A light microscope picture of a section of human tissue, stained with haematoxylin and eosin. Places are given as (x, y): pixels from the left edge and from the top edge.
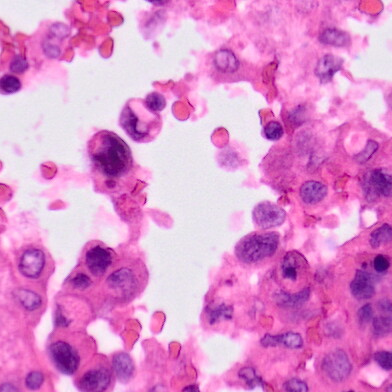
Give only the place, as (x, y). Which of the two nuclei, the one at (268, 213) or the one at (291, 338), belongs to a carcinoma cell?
(268, 213)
